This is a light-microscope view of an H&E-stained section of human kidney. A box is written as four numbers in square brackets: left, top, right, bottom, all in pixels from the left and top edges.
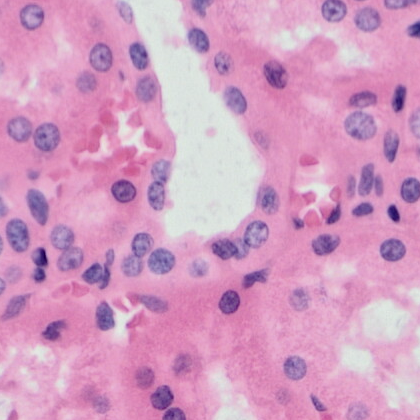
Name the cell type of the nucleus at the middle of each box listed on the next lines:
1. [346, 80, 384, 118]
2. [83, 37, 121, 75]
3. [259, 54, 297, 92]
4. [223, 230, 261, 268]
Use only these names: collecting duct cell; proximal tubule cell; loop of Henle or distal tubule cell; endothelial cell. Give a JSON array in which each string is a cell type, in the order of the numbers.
["proximal tubule cell", "proximal tubule cell", "proximal tubule cell", "collecting duct cell"]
